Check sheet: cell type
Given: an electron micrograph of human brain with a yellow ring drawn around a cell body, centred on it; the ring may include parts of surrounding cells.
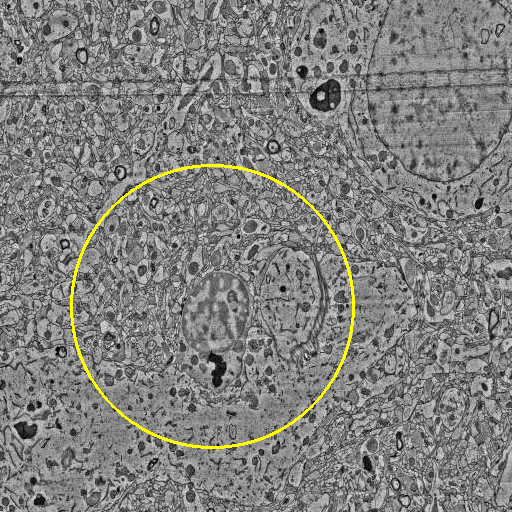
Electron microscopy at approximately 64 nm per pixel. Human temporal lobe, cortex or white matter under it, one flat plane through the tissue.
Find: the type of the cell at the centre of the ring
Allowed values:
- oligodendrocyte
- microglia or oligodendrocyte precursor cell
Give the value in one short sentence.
Here the ringed cell is an oligodendrocyte.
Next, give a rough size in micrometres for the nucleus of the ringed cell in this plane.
The nucleus is approximately 6 micrometers long by 4 micrometers wide in this plane.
